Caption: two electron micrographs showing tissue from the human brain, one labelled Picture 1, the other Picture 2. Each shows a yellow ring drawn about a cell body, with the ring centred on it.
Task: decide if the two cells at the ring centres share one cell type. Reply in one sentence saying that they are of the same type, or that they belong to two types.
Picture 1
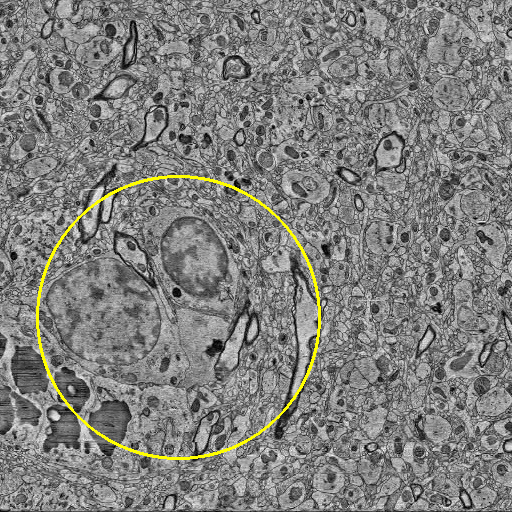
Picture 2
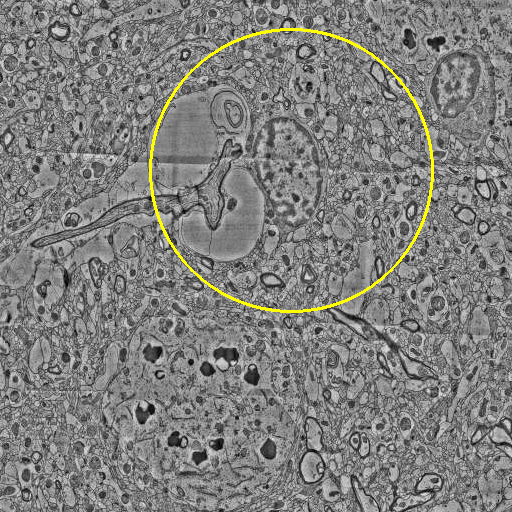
The cells at the ring centres in Picture 1 and Picture 2 are of the same type.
